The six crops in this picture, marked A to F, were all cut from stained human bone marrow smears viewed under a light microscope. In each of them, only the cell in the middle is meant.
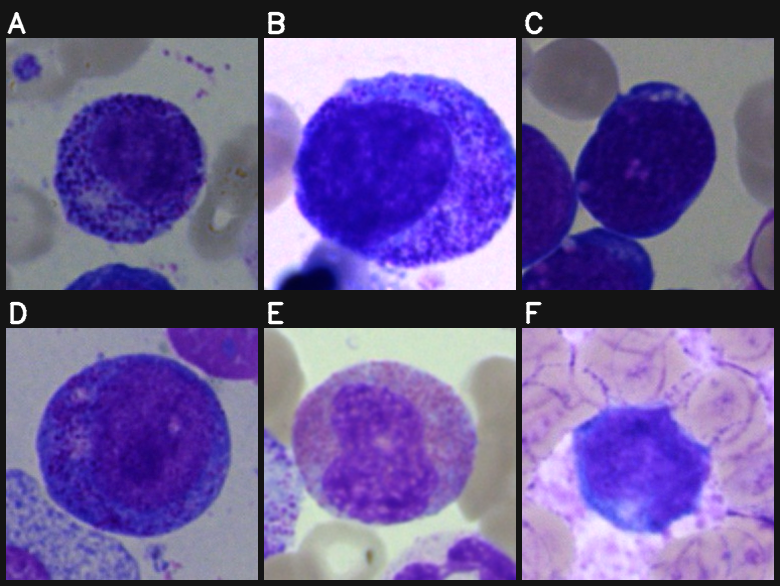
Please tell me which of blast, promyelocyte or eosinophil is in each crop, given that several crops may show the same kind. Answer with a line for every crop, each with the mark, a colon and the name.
A: promyelocyte
B: promyelocyte
C: blast
D: promyelocyte
E: eosinophil
F: blast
